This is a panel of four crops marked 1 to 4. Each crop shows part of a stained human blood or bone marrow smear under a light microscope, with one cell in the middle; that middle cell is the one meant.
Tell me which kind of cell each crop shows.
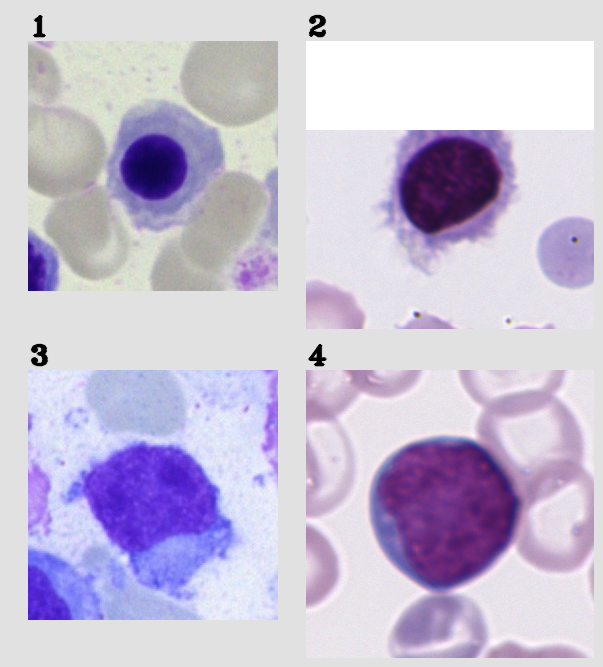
1: erythroblast
2: hairy cell
3: hairy cell
4: blast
